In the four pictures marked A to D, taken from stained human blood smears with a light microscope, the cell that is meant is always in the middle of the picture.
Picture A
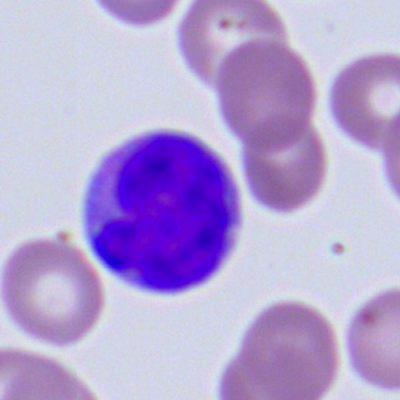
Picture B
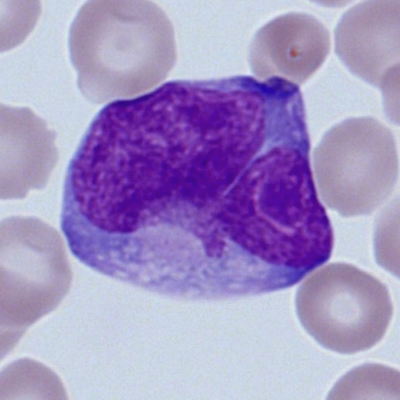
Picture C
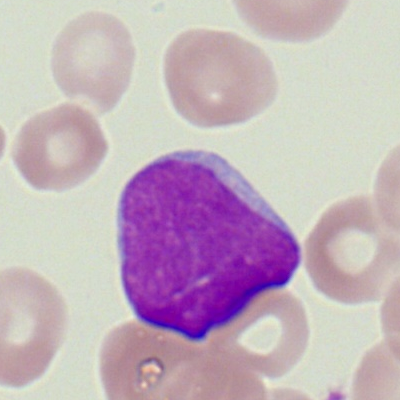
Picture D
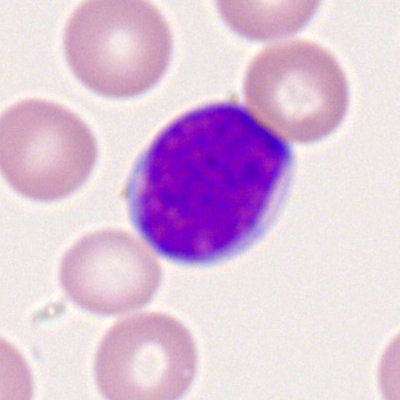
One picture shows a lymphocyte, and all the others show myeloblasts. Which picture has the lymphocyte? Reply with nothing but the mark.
A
